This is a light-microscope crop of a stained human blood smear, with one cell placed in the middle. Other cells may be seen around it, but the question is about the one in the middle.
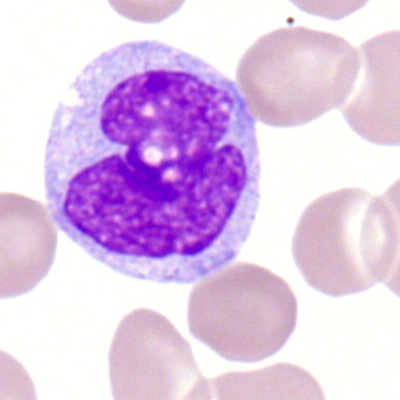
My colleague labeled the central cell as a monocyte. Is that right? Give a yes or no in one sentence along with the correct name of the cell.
Yes, the middle cell here is a monocyte.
